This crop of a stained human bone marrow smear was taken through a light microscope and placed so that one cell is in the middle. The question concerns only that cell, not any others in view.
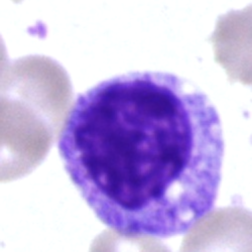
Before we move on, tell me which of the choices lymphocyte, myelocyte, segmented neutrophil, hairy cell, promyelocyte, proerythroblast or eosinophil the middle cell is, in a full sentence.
The cell at the centre of the field is a myelocyte.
